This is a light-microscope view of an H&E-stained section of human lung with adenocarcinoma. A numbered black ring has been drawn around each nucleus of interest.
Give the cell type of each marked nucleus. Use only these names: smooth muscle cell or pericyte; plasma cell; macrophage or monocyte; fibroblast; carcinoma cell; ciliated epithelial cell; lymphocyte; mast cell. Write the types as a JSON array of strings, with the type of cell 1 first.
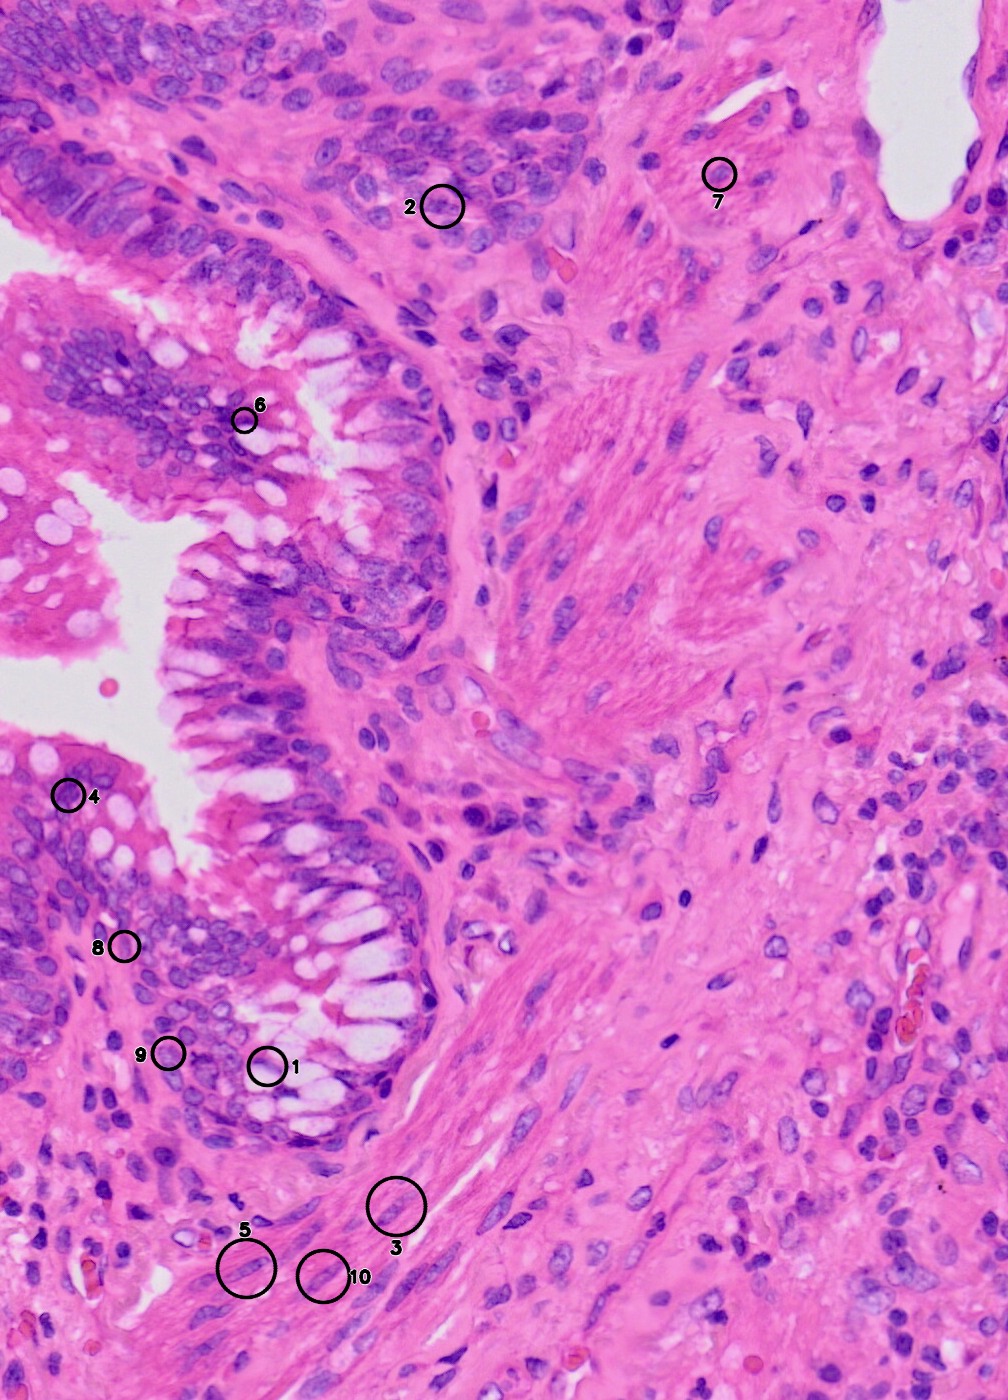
["ciliated epithelial cell", "ciliated epithelial cell", "smooth muscle cell or pericyte", "ciliated epithelial cell", "smooth muscle cell or pericyte", "ciliated epithelial cell", "smooth muscle cell or pericyte", "ciliated epithelial cell", "ciliated epithelial cell", "smooth muscle cell or pericyte"]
